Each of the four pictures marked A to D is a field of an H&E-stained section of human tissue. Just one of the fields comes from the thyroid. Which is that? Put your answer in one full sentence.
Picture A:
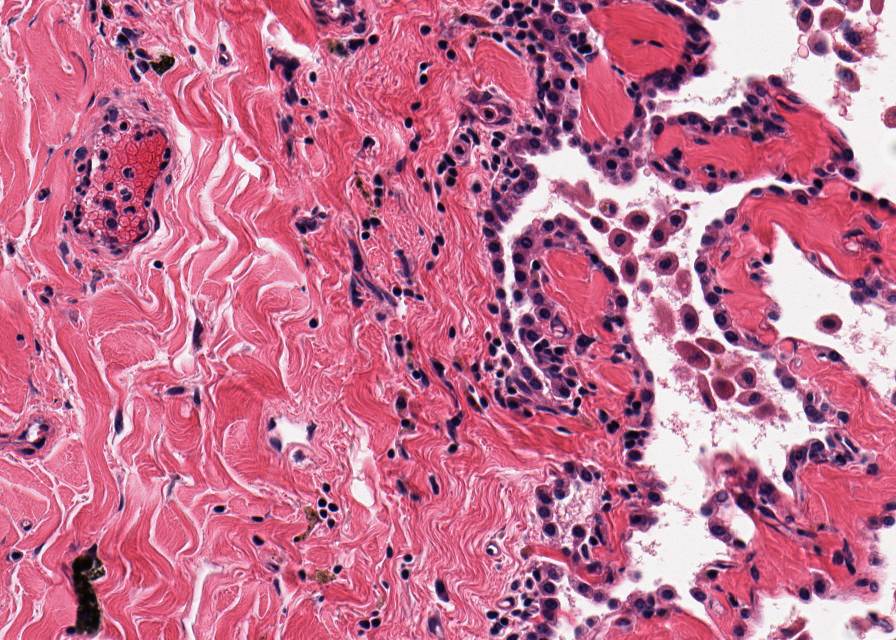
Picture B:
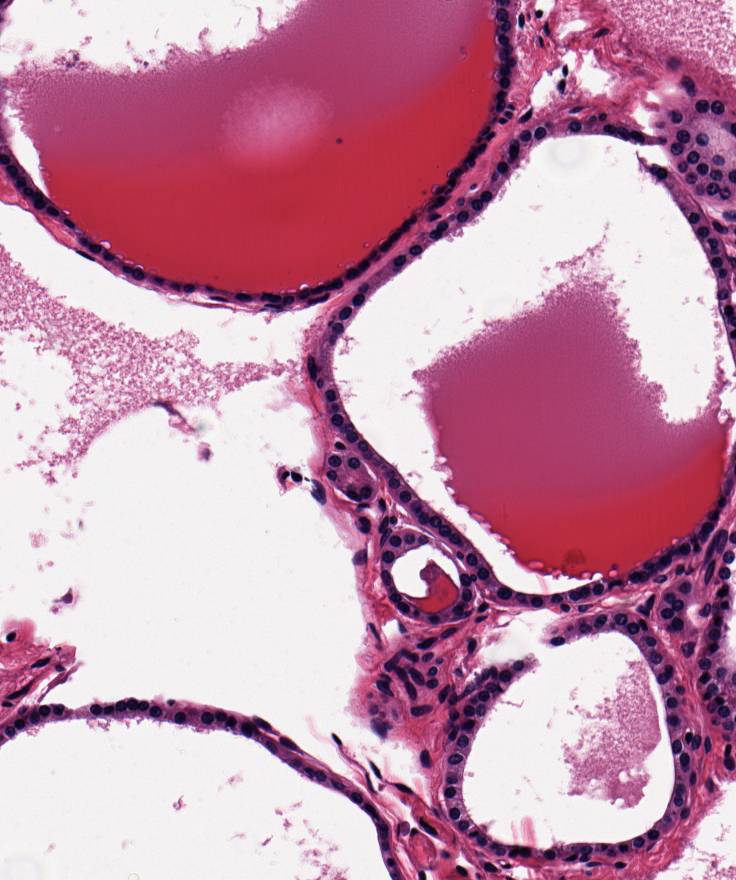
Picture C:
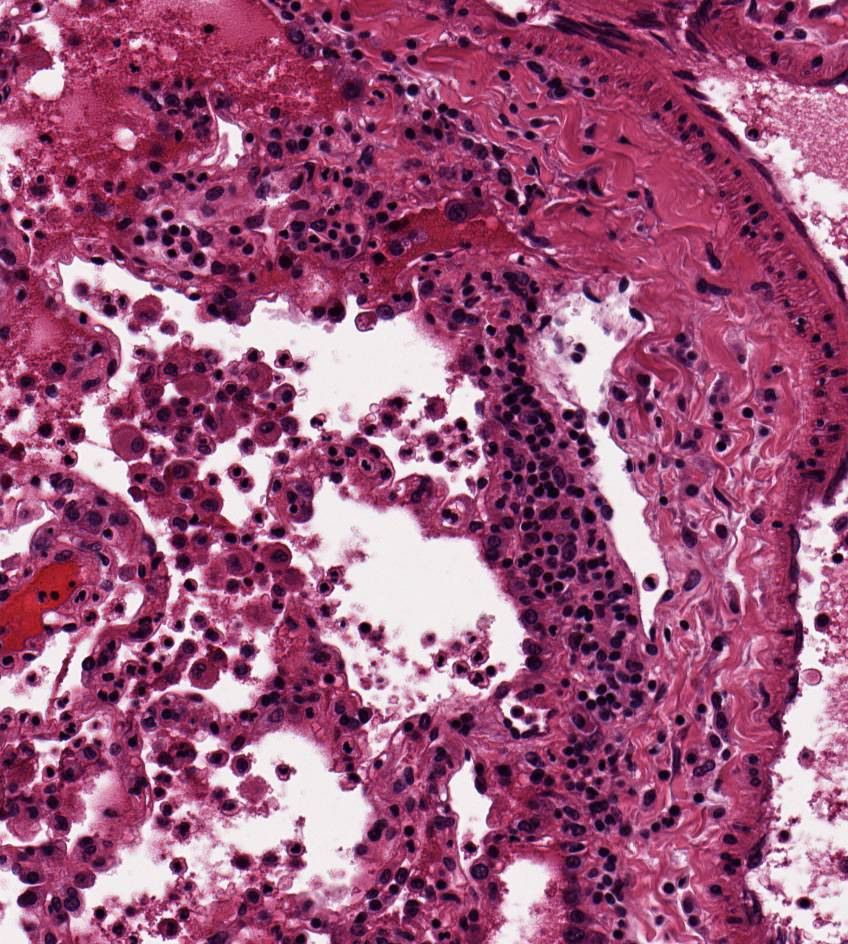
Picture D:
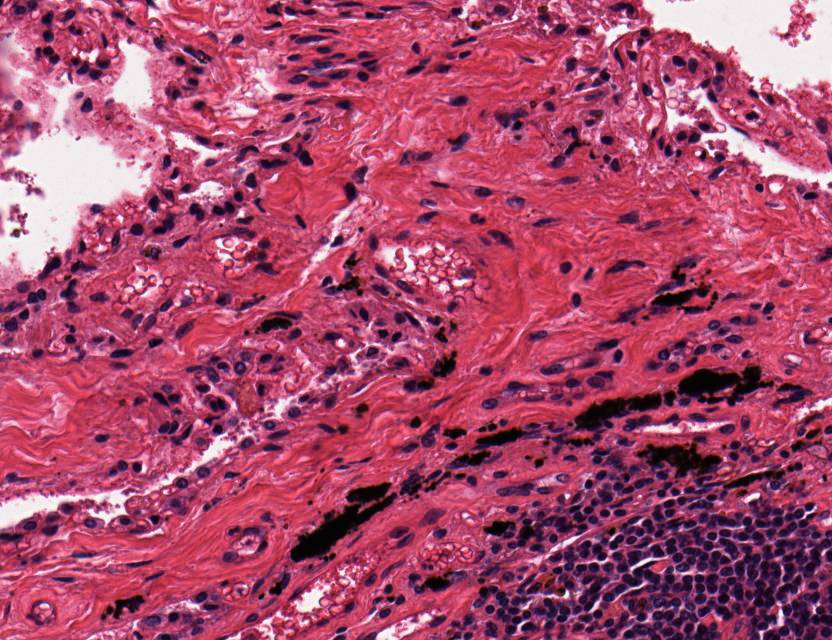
Picture B comes from the thyroid.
